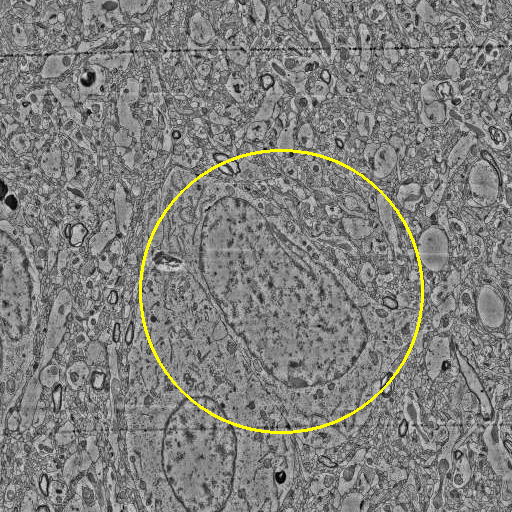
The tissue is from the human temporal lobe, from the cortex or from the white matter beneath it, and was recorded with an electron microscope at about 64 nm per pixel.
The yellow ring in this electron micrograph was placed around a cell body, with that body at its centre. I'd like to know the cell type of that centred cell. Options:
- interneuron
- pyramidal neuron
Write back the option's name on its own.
interneuron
